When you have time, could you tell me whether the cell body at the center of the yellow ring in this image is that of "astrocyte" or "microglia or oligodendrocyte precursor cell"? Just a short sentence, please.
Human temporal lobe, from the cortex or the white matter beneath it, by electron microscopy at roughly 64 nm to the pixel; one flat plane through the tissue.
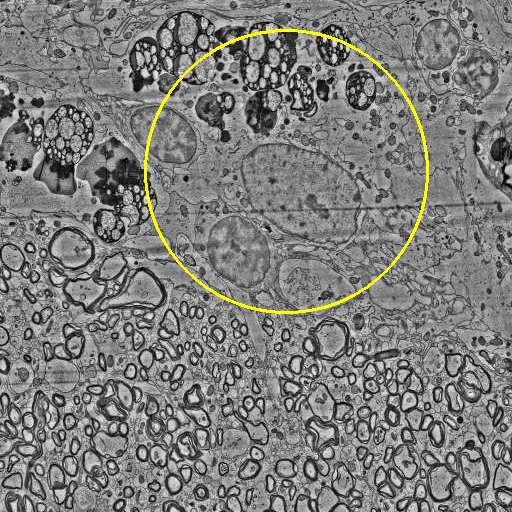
The cell body at the center of the ring is that of an astrocyte.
